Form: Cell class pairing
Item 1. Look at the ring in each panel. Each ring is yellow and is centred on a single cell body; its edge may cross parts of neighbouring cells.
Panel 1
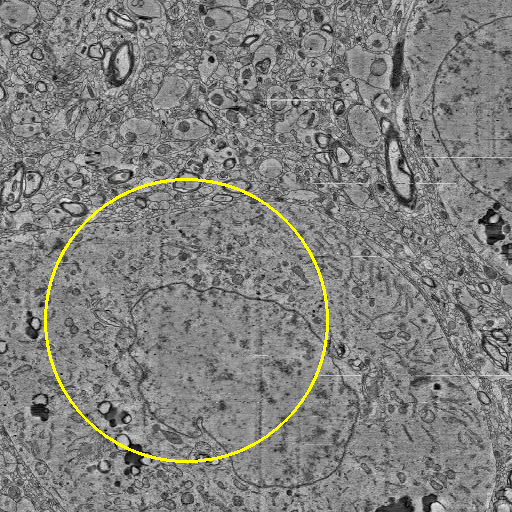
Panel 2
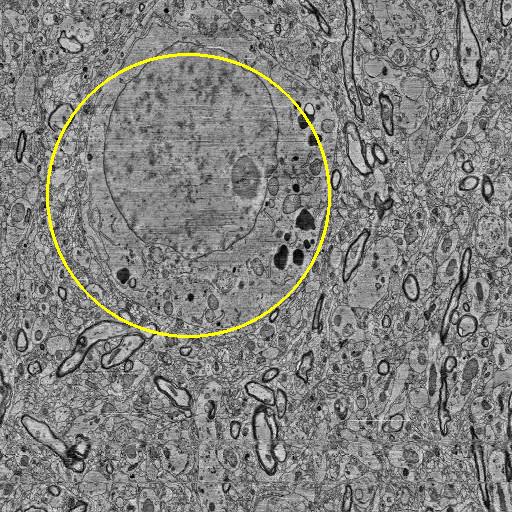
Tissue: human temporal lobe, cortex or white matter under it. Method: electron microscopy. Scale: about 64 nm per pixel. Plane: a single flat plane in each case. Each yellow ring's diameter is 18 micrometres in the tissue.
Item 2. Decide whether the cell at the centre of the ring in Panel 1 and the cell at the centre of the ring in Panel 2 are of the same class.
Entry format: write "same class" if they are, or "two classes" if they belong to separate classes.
same class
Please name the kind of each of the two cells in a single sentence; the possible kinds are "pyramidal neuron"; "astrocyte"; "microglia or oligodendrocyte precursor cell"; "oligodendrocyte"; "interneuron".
Each of the two cells is a pyramidal neuron.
